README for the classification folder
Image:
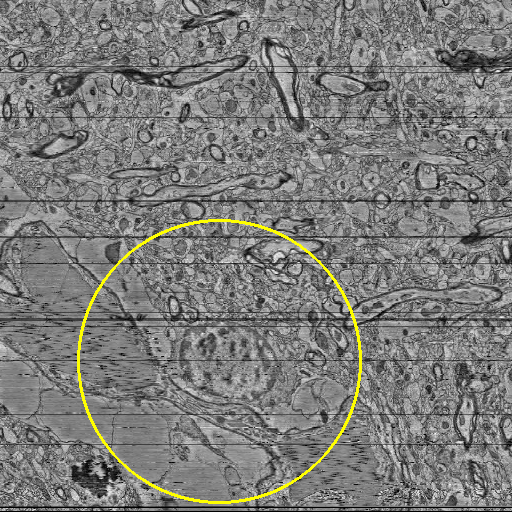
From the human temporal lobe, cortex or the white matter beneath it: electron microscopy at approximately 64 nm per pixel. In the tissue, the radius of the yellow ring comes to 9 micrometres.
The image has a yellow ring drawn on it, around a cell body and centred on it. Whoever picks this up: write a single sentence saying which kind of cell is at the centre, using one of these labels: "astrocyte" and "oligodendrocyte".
This cell body is that of an oligodendrocyte.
